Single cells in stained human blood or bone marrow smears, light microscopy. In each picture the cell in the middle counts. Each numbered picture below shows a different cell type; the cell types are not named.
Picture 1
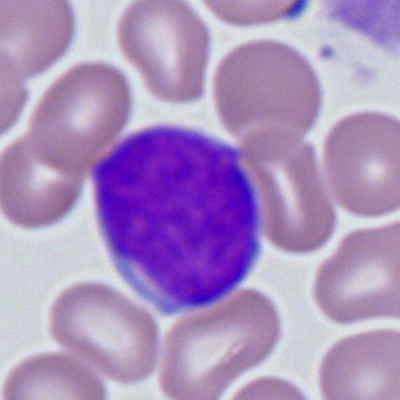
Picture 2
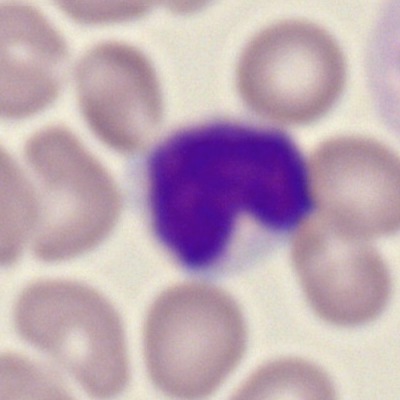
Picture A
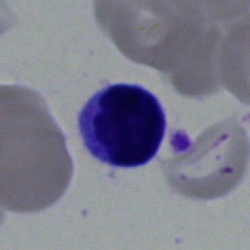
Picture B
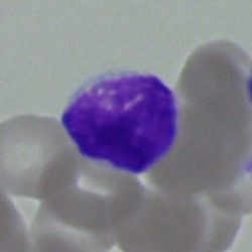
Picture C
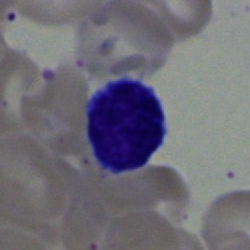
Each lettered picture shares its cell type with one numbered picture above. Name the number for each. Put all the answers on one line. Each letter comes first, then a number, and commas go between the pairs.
A 2, B 2, C 2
